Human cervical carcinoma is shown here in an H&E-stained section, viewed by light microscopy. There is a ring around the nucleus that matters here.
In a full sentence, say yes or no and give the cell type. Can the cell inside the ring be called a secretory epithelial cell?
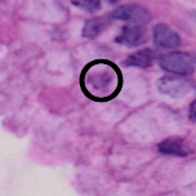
Yes, it holds that the cell inside the ring is a secretory epithelial cell.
